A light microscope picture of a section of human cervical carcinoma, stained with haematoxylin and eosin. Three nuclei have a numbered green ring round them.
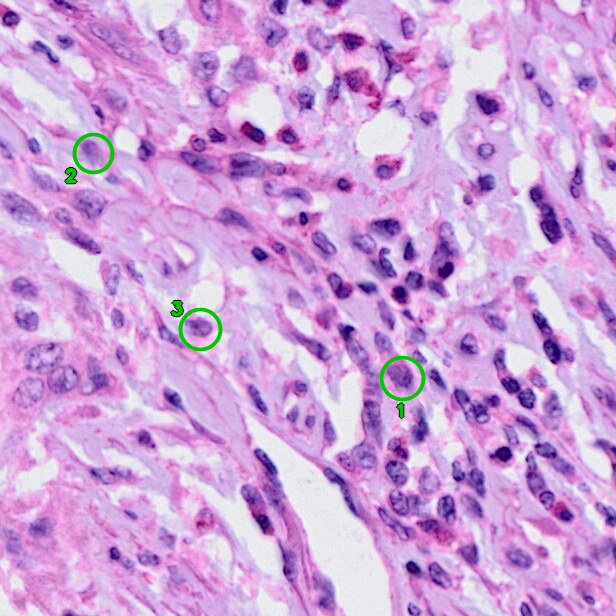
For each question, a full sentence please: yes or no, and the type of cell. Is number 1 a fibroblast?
No, number 1 belongs to a macrophage or monocyte, not to a fibroblast.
